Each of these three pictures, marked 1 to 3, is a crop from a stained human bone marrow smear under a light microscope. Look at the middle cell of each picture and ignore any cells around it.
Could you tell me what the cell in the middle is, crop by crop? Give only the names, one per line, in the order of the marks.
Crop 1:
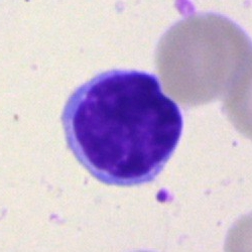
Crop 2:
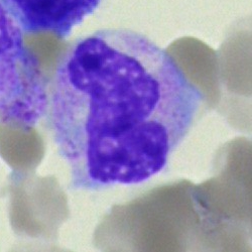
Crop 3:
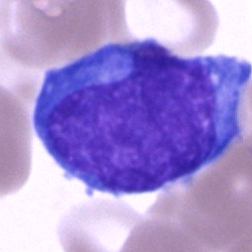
lymphocyte
band neutrophil
blast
